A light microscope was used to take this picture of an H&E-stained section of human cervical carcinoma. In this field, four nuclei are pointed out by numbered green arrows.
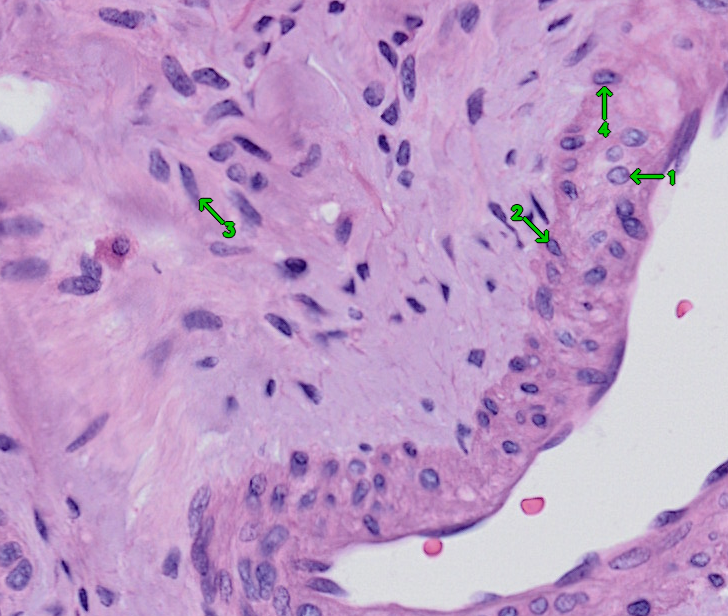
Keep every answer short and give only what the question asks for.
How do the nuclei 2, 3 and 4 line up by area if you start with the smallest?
2, 4, 3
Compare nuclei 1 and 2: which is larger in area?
1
